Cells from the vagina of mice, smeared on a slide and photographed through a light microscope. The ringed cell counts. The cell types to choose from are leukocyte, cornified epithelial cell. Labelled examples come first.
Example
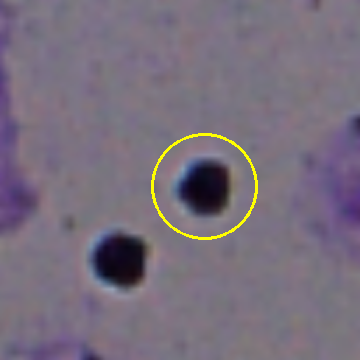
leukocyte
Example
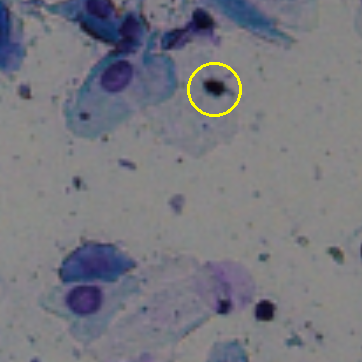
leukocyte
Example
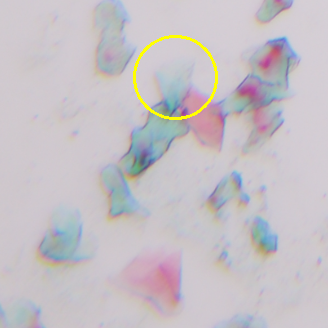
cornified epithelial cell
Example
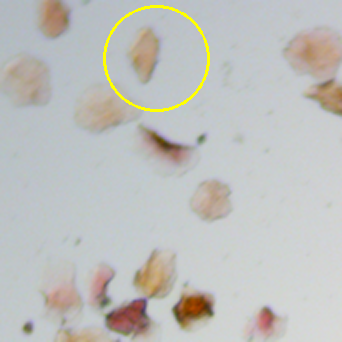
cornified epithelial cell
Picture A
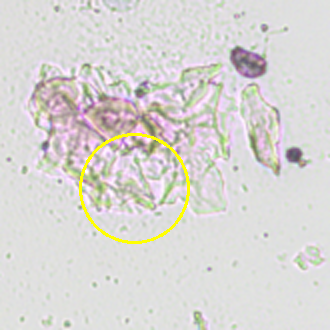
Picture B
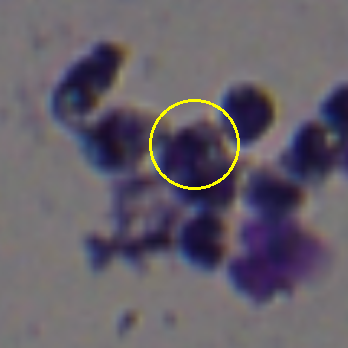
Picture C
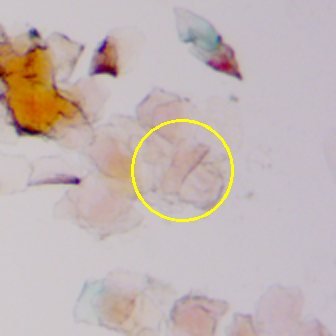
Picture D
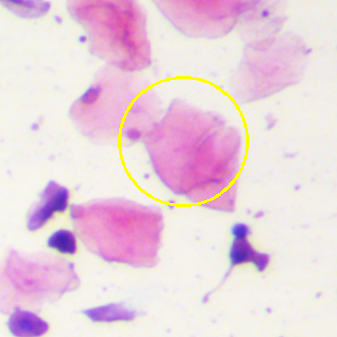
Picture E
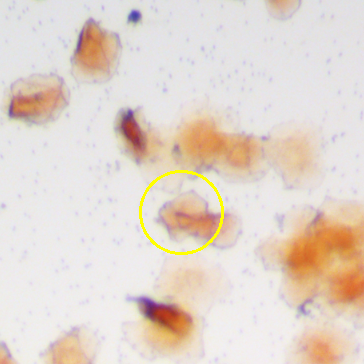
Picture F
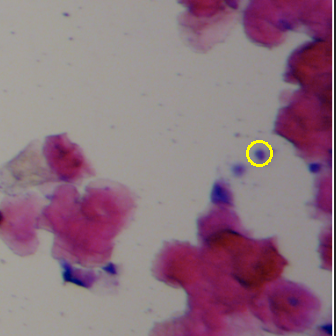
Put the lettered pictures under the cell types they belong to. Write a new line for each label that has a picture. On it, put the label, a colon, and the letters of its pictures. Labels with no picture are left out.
leukocyte: B, F
cornified epithelial cell: A, C, D, E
